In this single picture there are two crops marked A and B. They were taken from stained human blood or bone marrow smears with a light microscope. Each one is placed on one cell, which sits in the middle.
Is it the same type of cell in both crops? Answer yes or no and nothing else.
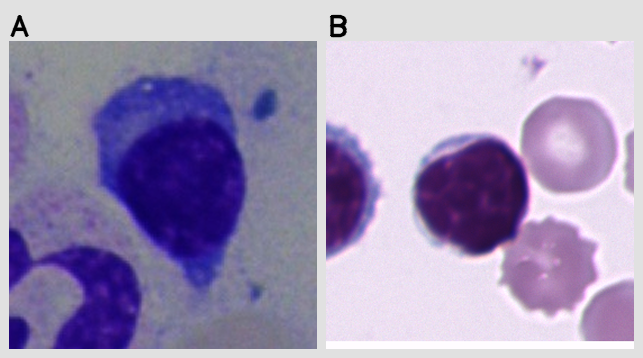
no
